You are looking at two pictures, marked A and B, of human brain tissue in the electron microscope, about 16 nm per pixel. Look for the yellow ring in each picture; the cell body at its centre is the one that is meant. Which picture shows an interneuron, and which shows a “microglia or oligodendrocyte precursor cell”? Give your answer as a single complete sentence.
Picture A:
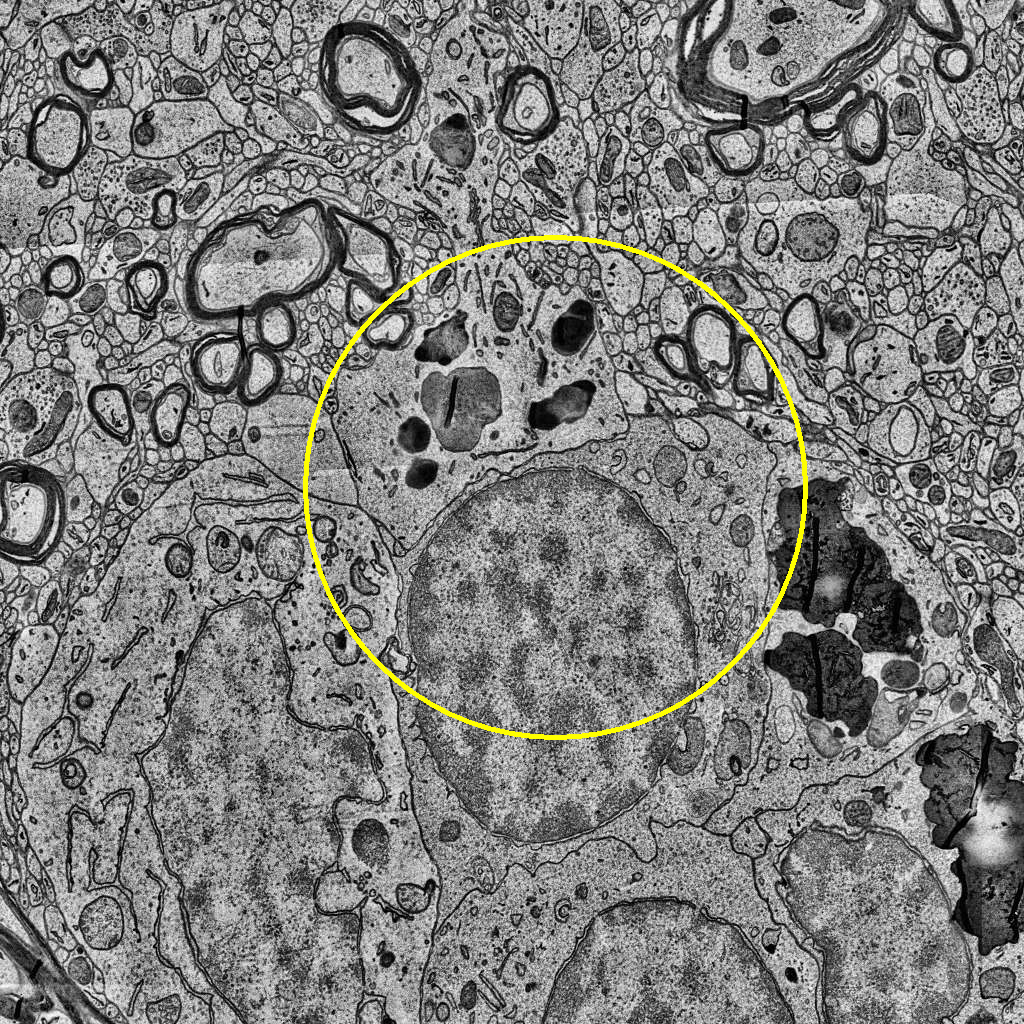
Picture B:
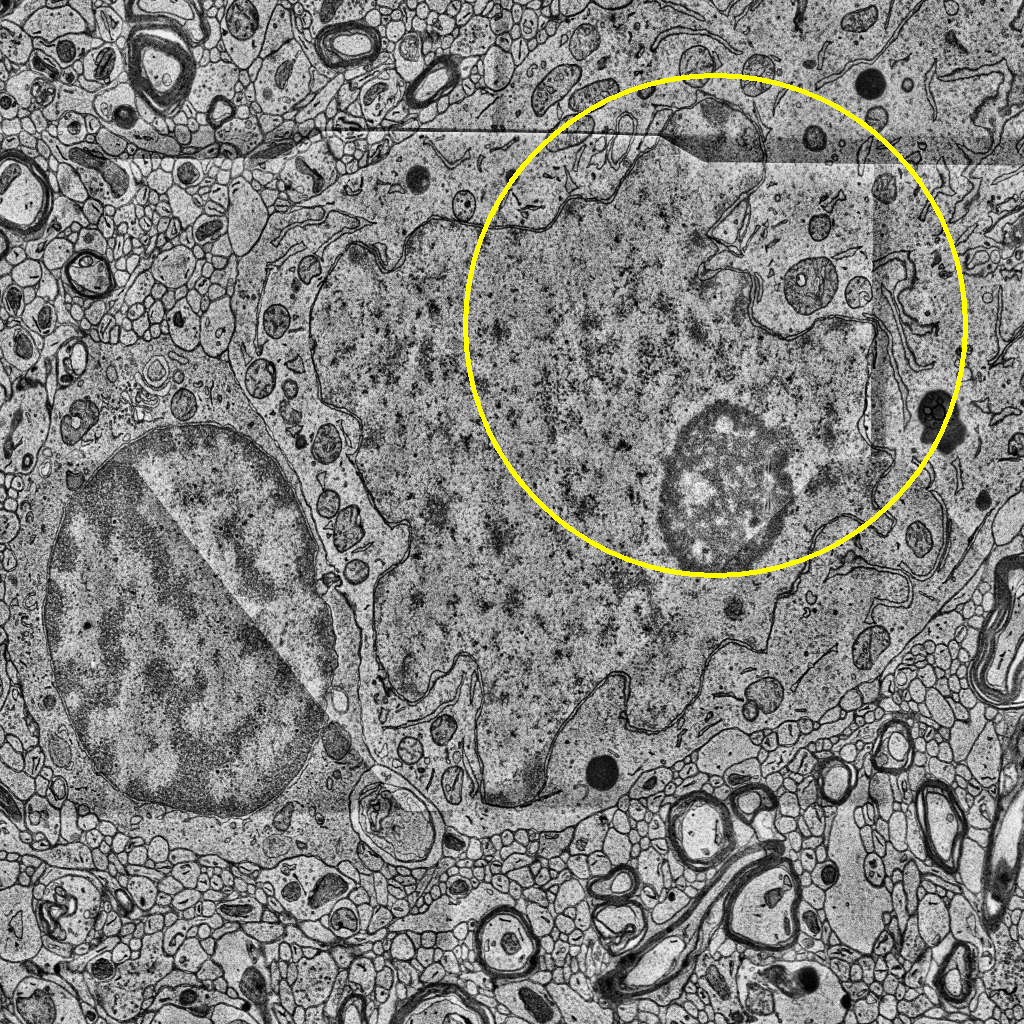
The cell in picture A is a “microglia or oligodendrocyte precursor cell”, and the one in picture B is an interneuron.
